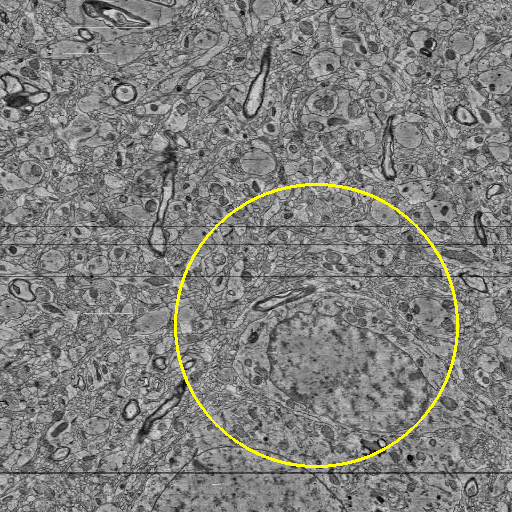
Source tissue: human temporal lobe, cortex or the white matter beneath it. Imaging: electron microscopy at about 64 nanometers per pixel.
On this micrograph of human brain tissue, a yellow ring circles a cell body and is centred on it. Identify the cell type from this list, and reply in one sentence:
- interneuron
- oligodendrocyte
The cell at the centre is an interneuron.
